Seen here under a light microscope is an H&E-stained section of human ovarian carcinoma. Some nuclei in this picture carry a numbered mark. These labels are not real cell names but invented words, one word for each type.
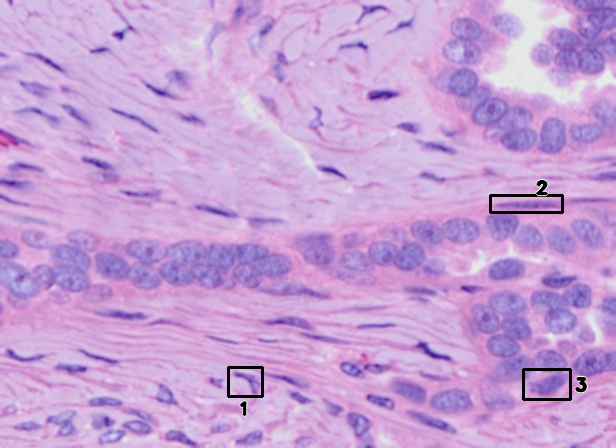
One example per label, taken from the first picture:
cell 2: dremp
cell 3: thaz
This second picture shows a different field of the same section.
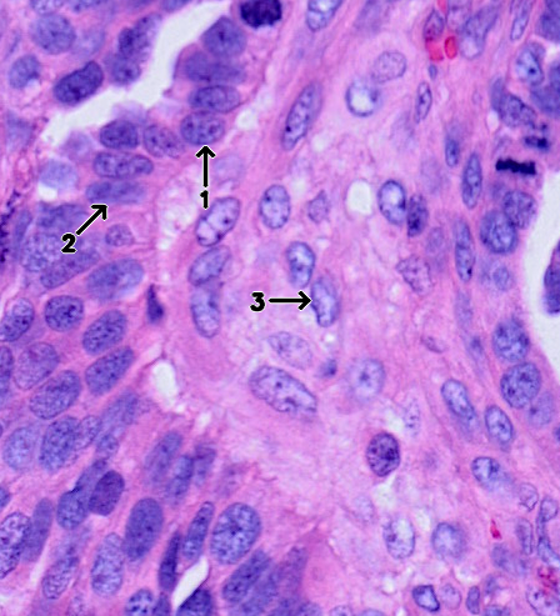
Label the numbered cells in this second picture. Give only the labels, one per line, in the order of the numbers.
thaz
thaz
dremp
